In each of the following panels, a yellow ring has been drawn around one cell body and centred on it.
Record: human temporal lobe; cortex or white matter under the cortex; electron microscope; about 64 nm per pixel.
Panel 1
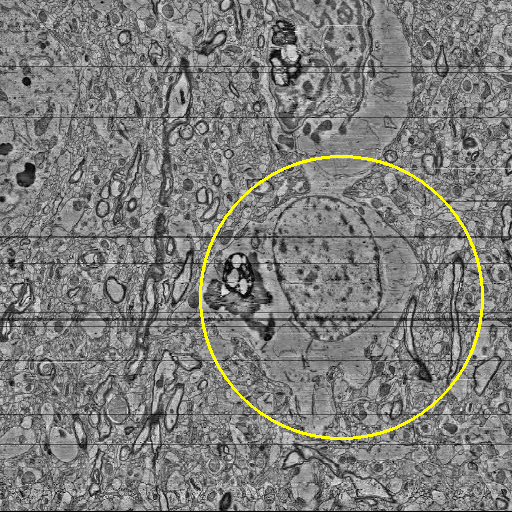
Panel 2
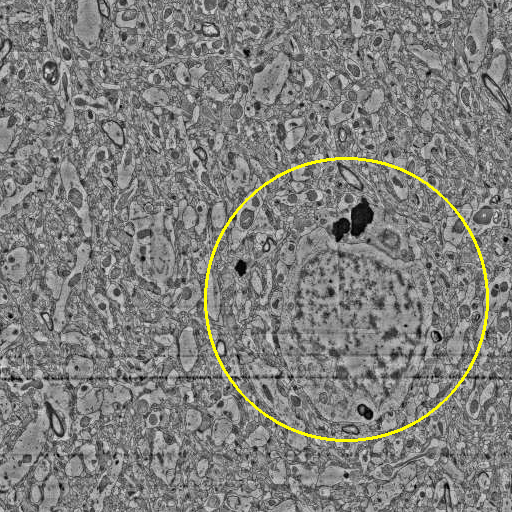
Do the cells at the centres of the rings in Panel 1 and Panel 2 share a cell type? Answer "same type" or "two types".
two types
